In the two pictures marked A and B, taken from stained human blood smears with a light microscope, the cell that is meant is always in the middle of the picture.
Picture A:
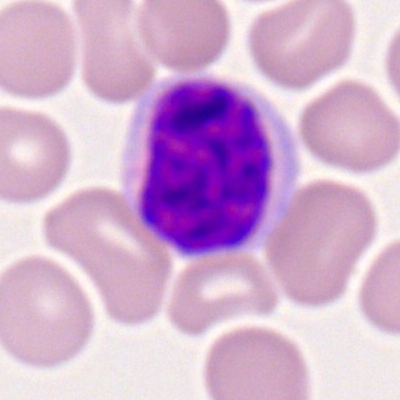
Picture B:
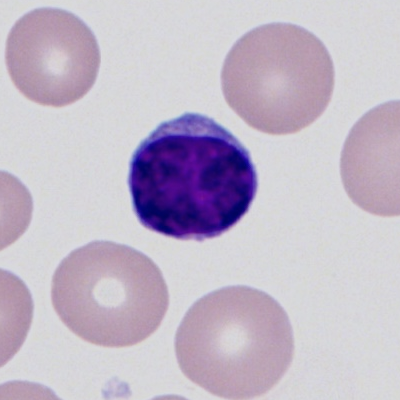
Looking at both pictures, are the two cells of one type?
yes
